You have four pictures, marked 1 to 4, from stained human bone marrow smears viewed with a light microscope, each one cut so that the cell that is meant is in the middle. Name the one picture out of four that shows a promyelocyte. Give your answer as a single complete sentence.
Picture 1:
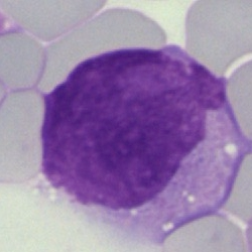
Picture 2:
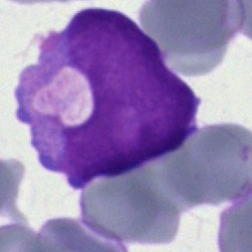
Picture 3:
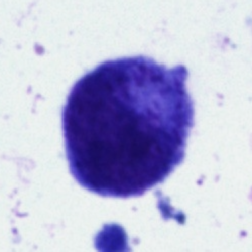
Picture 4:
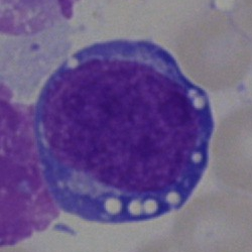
The cell in picture 3 is the promyelocyte.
